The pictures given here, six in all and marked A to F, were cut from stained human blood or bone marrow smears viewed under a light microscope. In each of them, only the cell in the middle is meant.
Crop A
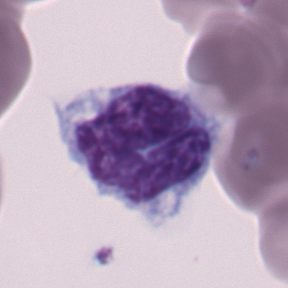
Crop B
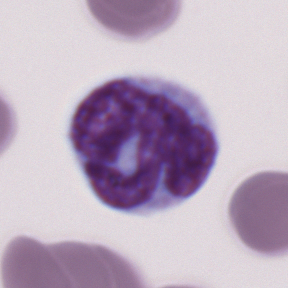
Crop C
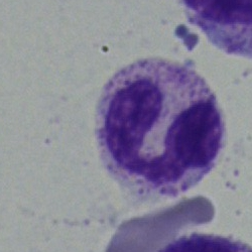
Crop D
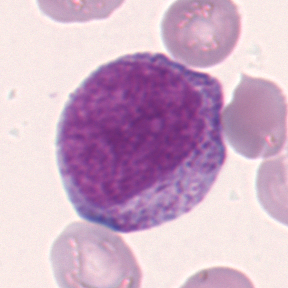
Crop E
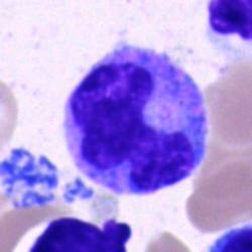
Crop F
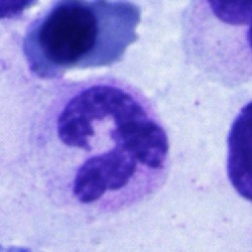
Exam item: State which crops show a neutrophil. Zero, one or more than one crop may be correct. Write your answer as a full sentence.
Of the crops given, crops C and F show neutrophils.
